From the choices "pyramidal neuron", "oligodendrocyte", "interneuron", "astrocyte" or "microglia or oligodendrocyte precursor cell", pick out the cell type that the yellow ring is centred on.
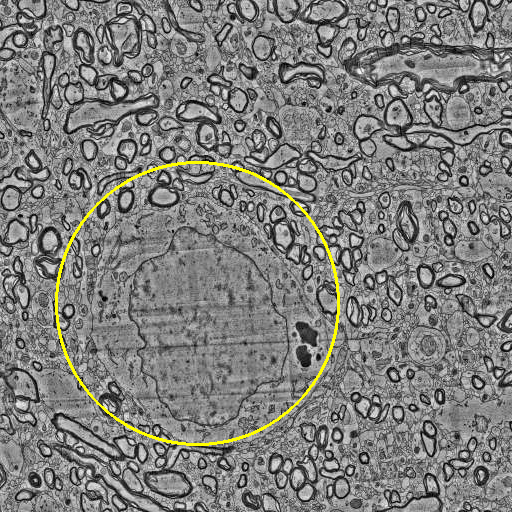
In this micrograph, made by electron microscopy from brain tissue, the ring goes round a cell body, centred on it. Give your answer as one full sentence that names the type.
The yellow ring is centred on a pyramidal neuron, whose cell body it encircles in the picture.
